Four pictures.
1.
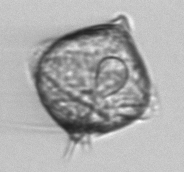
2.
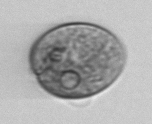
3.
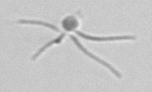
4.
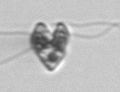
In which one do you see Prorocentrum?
In picture 2.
